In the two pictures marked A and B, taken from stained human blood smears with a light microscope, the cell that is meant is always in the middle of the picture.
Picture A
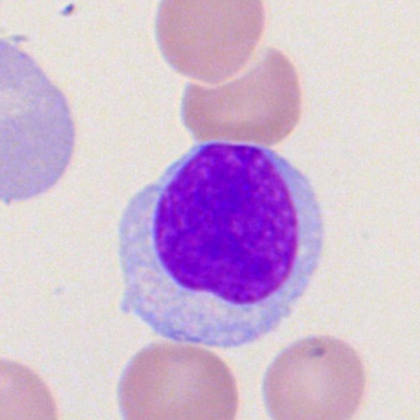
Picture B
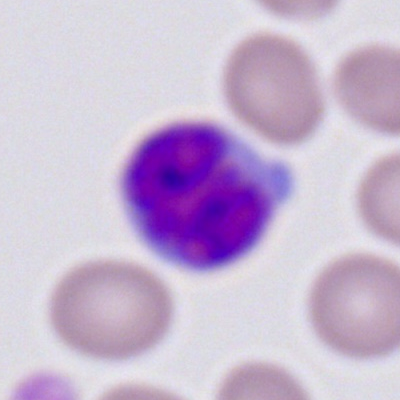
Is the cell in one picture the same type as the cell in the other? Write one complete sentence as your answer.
Yes, both are lymphocytes.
